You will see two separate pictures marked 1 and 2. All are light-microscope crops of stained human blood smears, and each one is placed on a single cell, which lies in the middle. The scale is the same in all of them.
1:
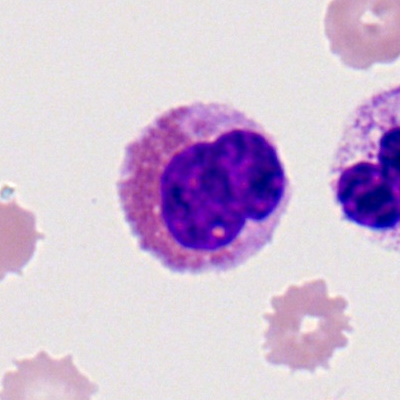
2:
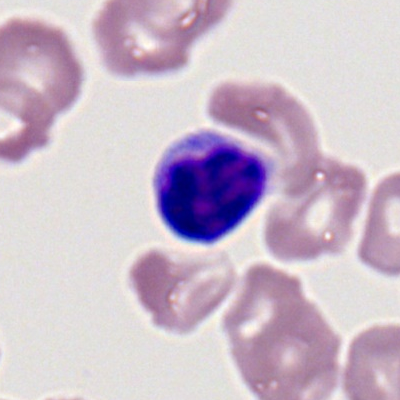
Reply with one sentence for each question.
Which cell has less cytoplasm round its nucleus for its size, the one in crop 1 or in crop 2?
It is the cell in crop 2 that is filled more by its nucleus.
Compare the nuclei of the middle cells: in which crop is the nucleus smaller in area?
It is the nucleus in crop 2; the one in crop 1 has about 1.5 times its area.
